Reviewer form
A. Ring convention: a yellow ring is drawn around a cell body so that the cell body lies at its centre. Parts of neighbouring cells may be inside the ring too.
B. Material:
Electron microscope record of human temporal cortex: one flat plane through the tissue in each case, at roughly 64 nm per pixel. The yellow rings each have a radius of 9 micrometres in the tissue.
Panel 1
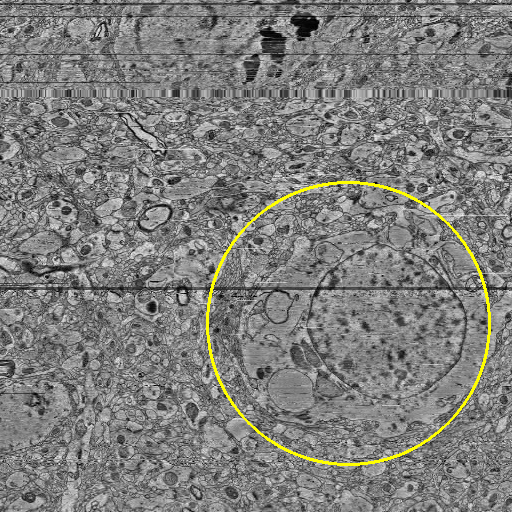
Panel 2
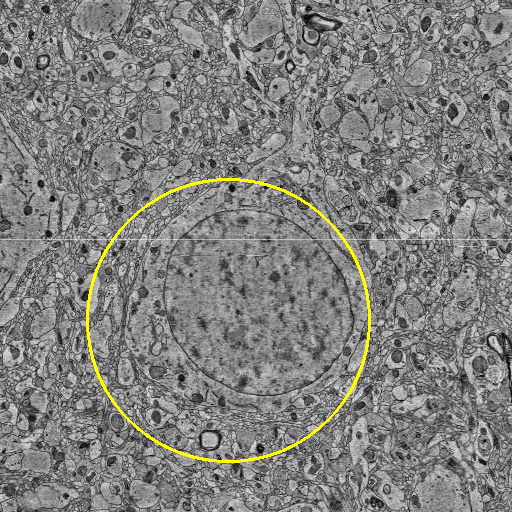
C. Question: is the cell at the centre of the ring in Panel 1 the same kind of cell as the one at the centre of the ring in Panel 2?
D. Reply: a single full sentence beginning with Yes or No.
No, the cells in Panel 1 and Panel 2 are two kinds of cell.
